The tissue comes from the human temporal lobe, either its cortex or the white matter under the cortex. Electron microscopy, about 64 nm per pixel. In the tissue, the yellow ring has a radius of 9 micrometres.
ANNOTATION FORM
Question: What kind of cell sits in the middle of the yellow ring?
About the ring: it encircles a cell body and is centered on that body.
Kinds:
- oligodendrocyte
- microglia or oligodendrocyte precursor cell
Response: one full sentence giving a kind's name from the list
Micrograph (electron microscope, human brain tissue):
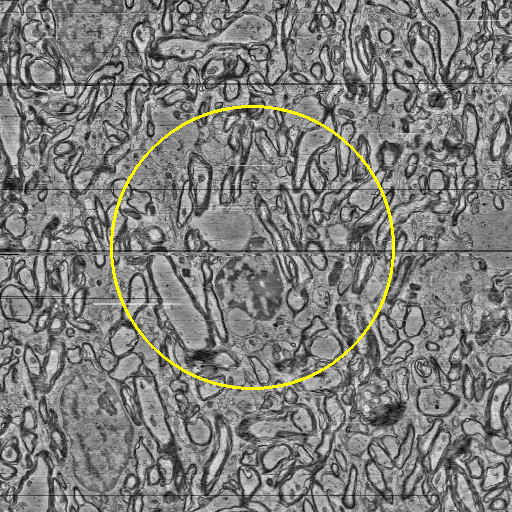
The kind of cell found at the center of the yellow ring in the micrograph is a microglial cell or oligodendrocyte precursor cell.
